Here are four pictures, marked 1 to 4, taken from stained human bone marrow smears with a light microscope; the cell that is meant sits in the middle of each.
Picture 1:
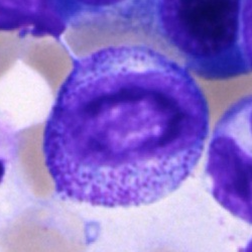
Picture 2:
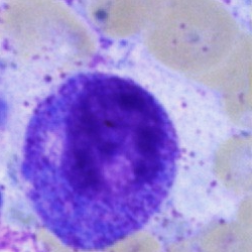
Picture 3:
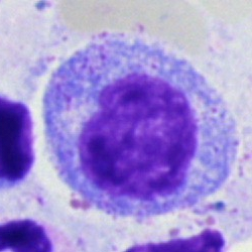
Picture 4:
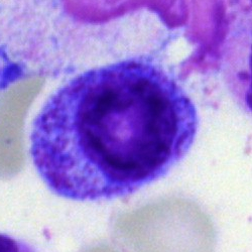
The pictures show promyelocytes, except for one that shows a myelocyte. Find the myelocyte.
4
